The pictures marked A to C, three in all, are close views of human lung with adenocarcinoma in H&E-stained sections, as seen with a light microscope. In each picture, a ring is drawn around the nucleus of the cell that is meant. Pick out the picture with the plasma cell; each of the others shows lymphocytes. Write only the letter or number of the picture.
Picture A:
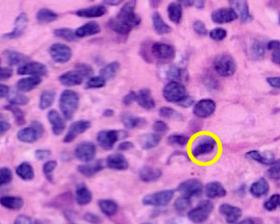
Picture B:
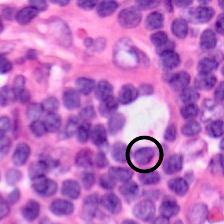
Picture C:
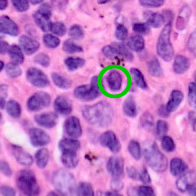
A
